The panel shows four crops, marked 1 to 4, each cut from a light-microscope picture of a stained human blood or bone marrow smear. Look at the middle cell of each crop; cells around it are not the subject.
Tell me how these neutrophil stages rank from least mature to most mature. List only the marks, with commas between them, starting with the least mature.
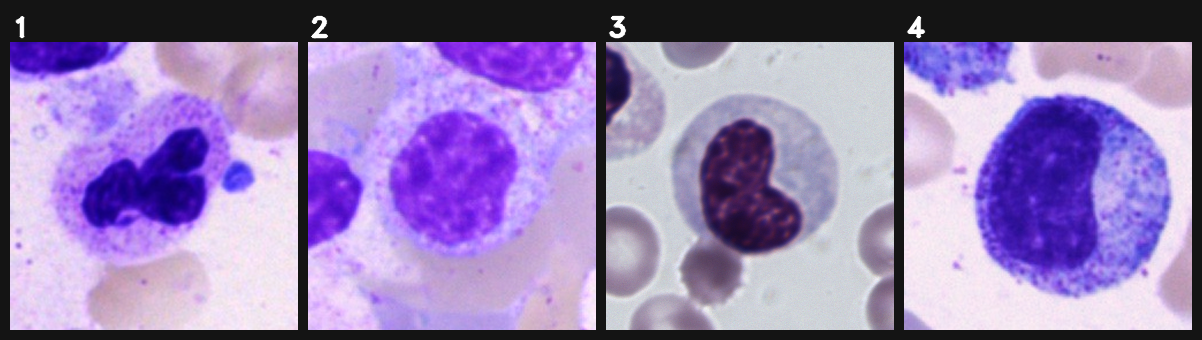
4, 2, 3, 1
